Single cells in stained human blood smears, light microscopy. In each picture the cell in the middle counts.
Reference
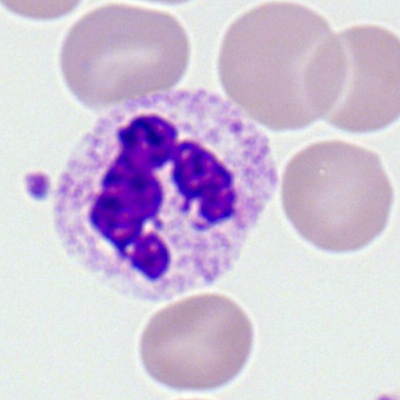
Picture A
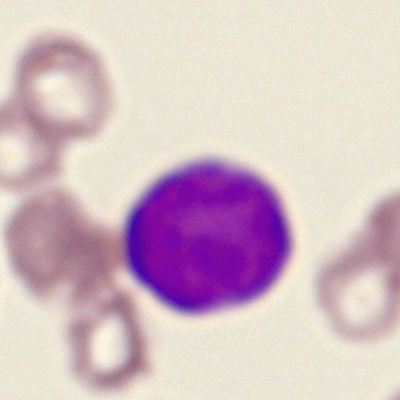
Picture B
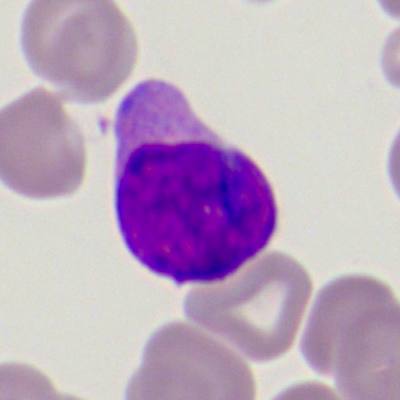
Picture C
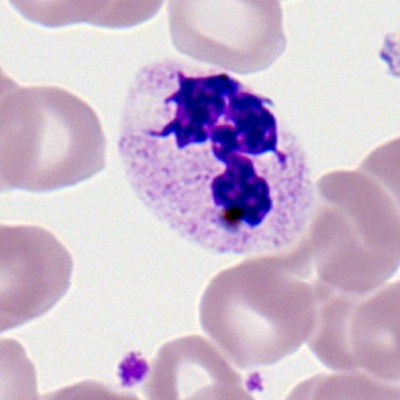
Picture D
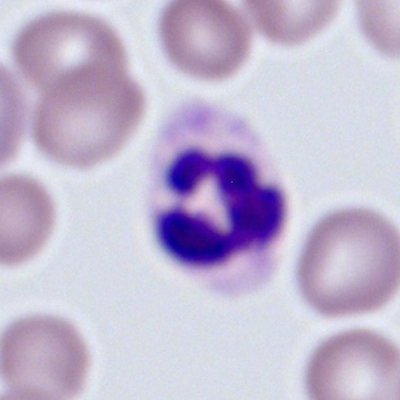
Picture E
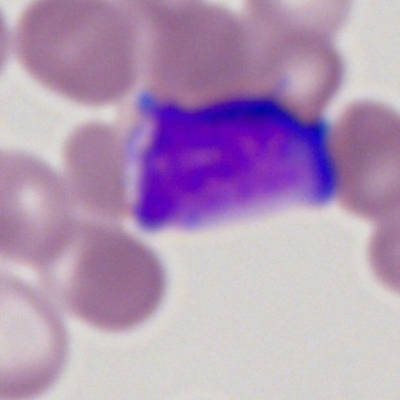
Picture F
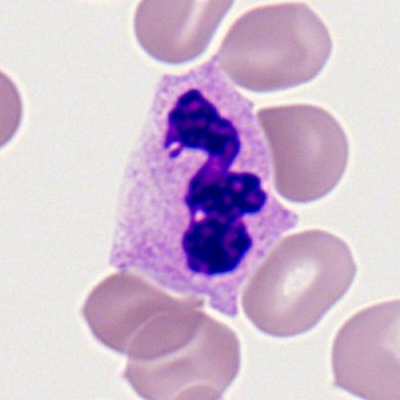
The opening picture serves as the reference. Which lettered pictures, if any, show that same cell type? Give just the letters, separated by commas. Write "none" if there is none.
C, D, F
